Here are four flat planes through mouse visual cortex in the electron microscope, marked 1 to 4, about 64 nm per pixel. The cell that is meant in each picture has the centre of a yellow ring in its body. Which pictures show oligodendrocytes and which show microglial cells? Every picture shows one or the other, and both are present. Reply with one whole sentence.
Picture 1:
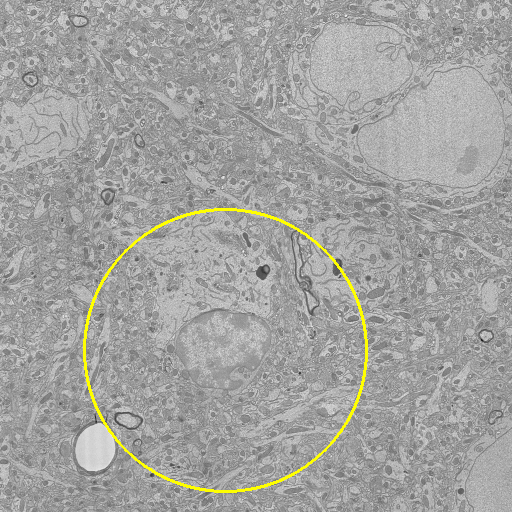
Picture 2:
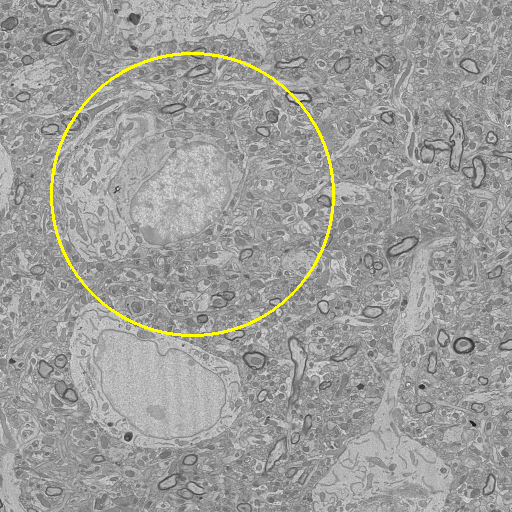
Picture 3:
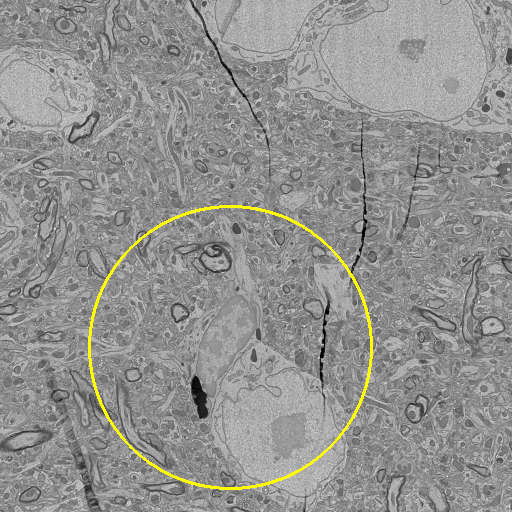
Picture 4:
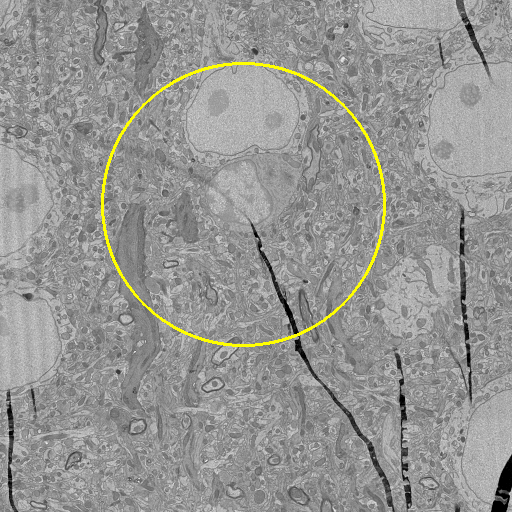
Pictures 1, 2 and 4 show oligodendrocytes, while picture 3 shows a microglial cell.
